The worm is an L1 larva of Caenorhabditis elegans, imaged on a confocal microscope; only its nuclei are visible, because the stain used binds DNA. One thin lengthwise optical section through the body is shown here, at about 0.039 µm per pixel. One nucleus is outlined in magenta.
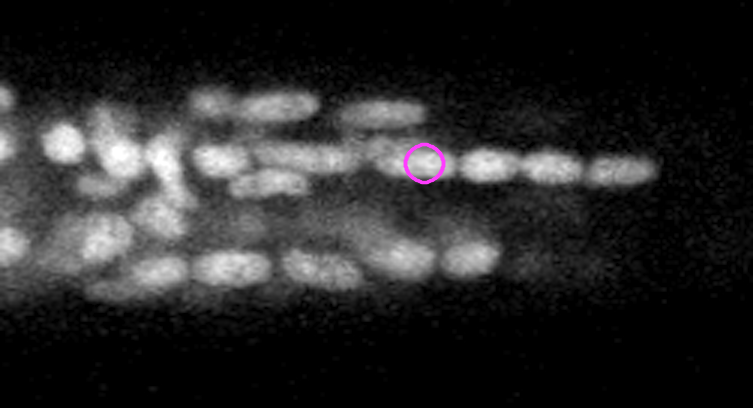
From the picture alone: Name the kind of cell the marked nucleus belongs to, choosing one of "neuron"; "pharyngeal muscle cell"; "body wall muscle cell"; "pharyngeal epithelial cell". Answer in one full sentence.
It belongs to a pharyngeal epithelial cell.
